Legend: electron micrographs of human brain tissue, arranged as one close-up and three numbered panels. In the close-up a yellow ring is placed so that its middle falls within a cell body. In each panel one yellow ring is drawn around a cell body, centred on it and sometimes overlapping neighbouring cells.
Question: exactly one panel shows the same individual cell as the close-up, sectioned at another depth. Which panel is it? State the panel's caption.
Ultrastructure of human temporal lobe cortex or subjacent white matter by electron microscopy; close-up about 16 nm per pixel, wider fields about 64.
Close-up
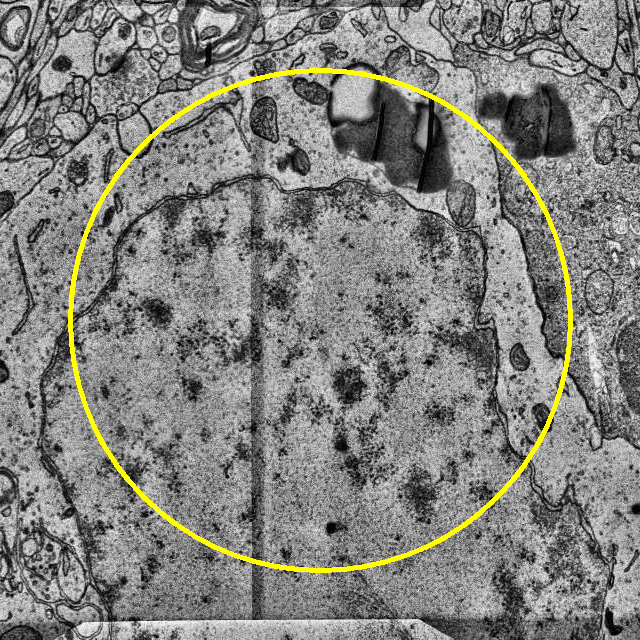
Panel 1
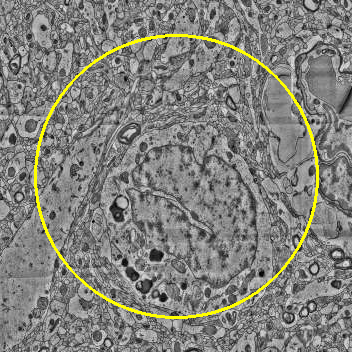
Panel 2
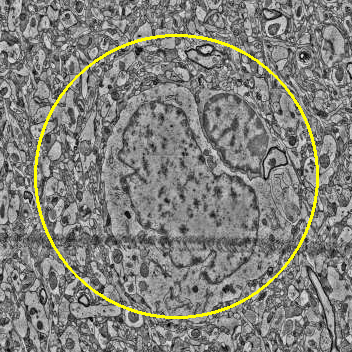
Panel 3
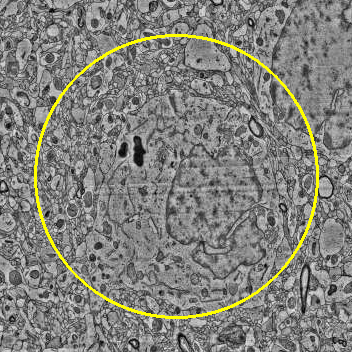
Panel 1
